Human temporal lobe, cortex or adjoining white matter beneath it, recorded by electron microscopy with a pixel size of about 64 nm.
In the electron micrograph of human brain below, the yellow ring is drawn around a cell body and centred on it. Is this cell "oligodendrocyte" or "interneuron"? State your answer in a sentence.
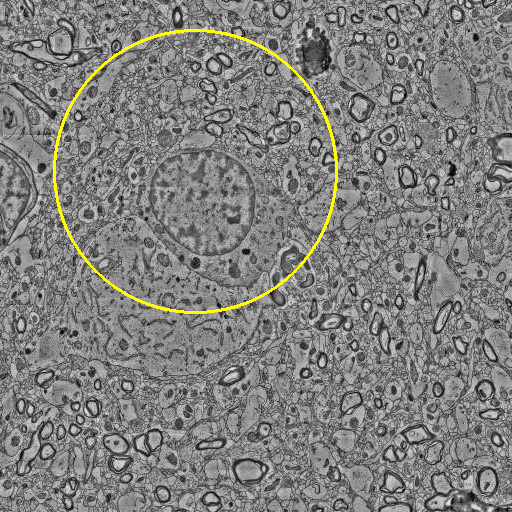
The cell in the middle of the ring is an oligodendrocyte.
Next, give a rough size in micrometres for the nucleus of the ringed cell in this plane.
The nucleus is approximately 7 micrometers across in this plane.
